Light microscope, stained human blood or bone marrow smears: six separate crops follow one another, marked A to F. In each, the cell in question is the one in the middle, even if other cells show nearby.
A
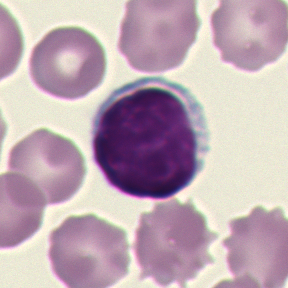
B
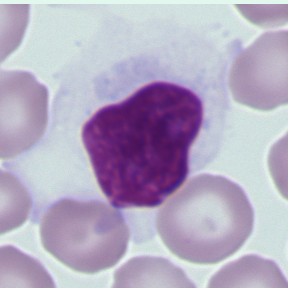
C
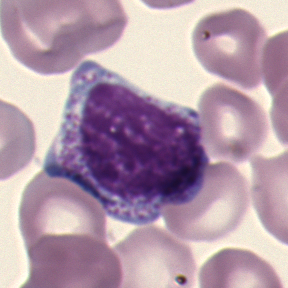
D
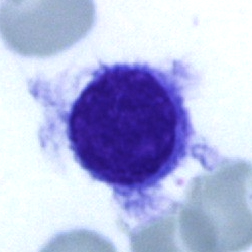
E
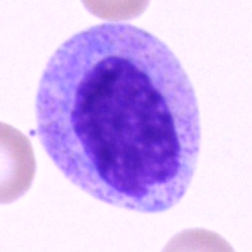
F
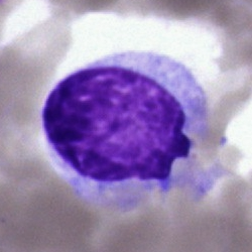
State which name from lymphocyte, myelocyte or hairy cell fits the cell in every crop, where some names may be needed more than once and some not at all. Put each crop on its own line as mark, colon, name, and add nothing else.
A: lymphocyte
B: hairy cell
C: myelocyte
D: hairy cell
E: myelocyte
F: hairy cell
